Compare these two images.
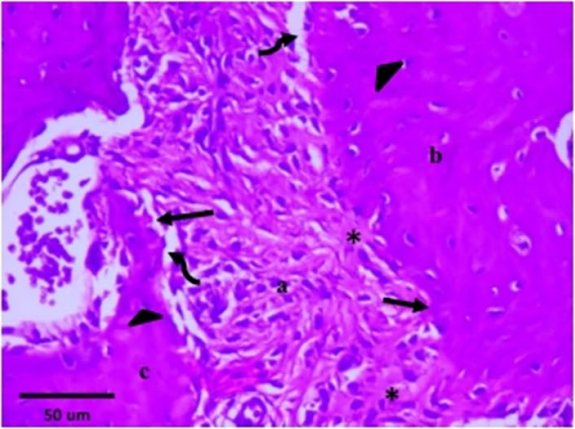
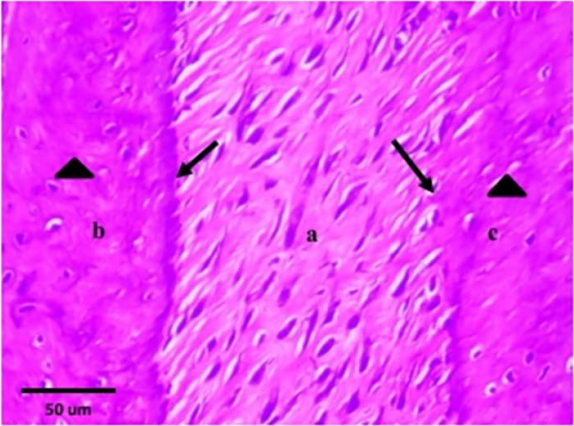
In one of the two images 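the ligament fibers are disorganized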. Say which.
The first image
